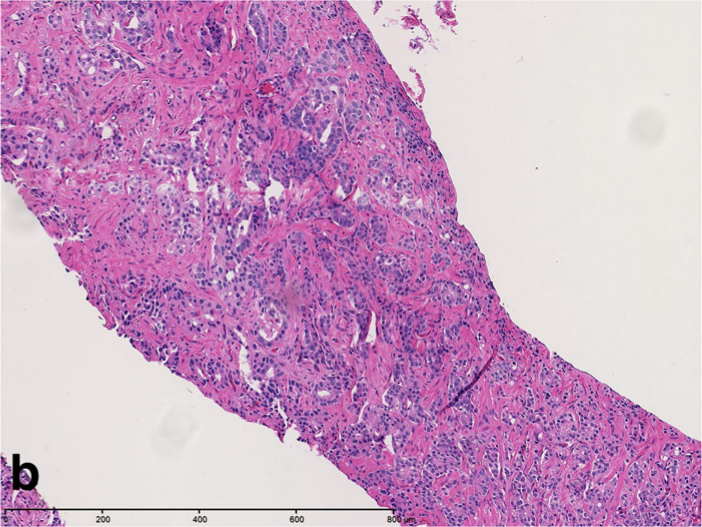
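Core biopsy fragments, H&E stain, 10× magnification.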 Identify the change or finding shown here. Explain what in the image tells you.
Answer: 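Prostate adenocarcinoma. The core is filled with crowded small epithelial cells set in pink fibrous stroma. The tumour cells form fused nests and cords with only small, poorly formed lumens. No large glands with wide lumens and folded linings are present.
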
